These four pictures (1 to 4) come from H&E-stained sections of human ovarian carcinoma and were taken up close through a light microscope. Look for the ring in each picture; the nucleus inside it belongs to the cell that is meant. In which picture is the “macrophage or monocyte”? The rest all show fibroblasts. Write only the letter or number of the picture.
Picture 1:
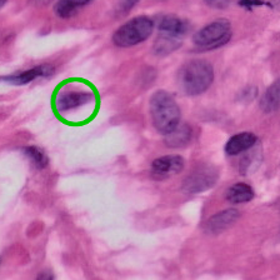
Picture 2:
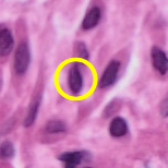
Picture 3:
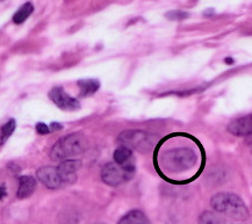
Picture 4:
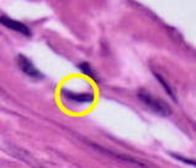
3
